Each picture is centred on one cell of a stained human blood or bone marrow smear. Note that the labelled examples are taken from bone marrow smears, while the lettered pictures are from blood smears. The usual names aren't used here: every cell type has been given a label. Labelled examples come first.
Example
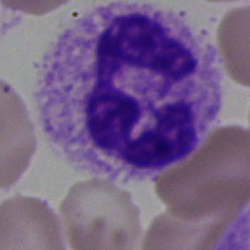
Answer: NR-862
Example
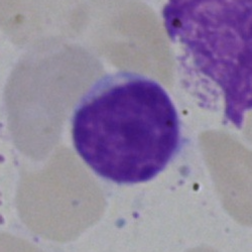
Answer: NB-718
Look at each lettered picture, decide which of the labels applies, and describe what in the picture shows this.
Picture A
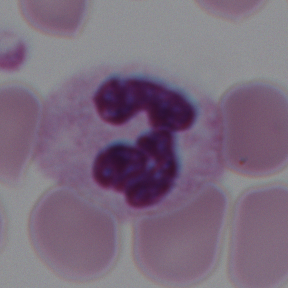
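NR-862: A wide rim of pale pinkish-lilac cytoplasm surrounds the nucleus.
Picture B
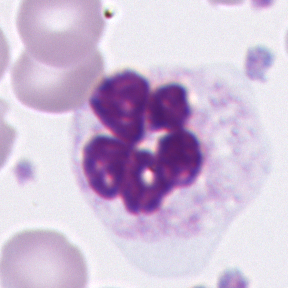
NR-862: The cytoplasm is abundant and pale pinkish-lilac.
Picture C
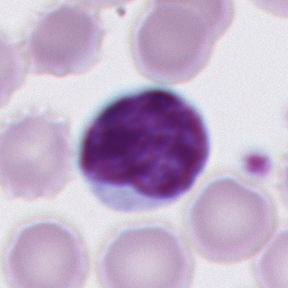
NB-718: The cytoplasm is scant, forming a crescent mainly below the nucleus.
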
